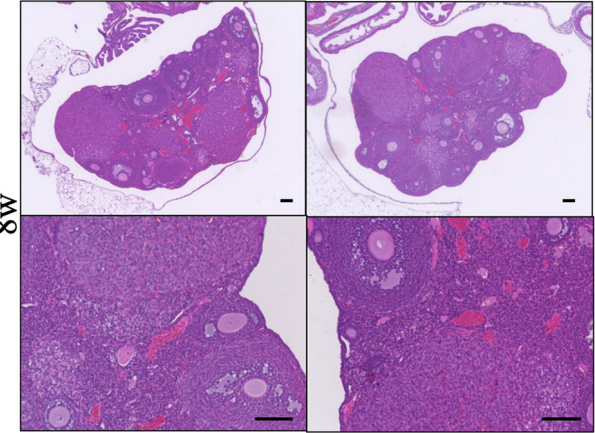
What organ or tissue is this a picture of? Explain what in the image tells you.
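Whole-organ sections containing follicles of many sizes. Some follicles have a clear fluid-filled cavity beside the oocyte. A thin membrane surrounds the organ. On this evidence: ovaries.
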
